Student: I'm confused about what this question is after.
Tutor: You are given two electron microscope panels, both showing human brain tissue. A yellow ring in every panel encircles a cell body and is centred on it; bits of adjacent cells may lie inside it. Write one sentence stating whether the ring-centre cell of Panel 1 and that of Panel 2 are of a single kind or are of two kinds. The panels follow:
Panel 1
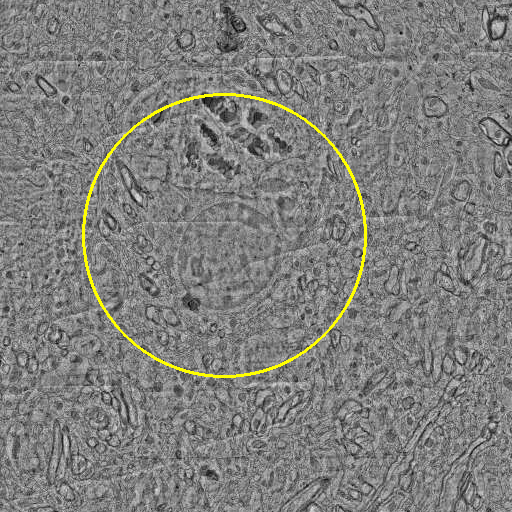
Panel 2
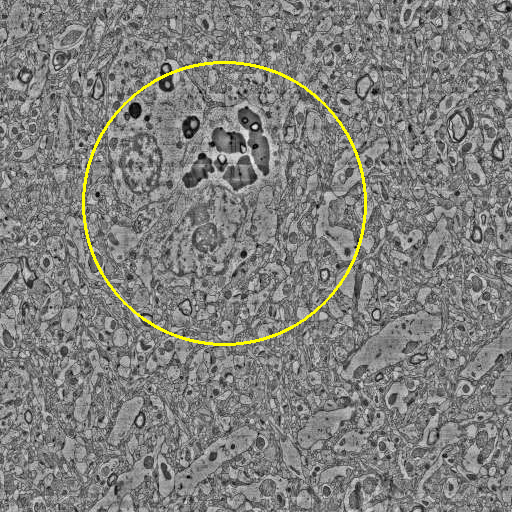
Here, the Panel 1 ring-centre cell and the Panel 2 ring-centre cell are of two kinds.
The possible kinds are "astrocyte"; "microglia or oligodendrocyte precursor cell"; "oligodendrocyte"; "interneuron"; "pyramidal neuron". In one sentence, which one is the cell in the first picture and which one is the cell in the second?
The cell ringed in the second picture is an interneuron, whereas the one ringed in the first is an oligodendrocyte.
